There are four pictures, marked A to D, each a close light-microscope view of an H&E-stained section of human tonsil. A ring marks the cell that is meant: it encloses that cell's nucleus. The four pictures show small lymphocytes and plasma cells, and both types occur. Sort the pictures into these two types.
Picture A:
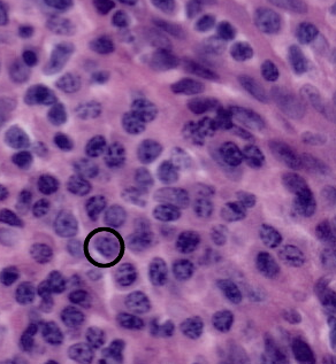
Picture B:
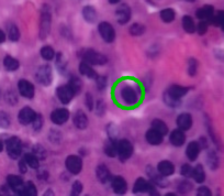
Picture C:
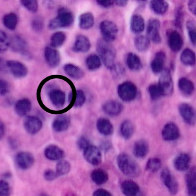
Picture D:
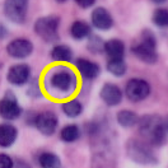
A: plasma cell
B: plasma cell
C: plasma cell
D: small lymphocyte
